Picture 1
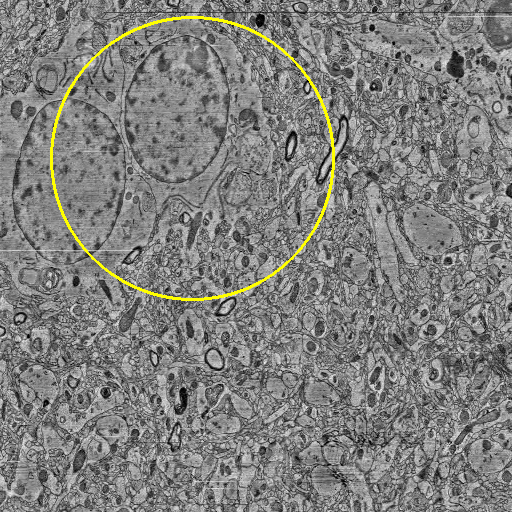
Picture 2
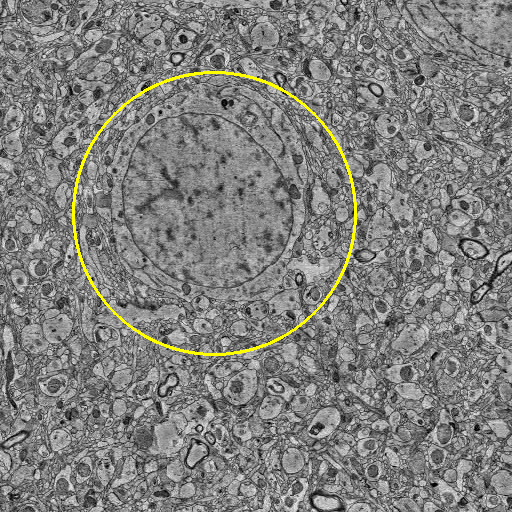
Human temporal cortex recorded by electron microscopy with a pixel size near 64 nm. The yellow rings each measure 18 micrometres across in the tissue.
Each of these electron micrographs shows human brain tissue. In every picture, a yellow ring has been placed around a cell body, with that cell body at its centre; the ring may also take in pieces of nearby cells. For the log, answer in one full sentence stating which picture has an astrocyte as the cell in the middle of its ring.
In picture 1, the cell at the centre of the yellow ring is the requested one.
